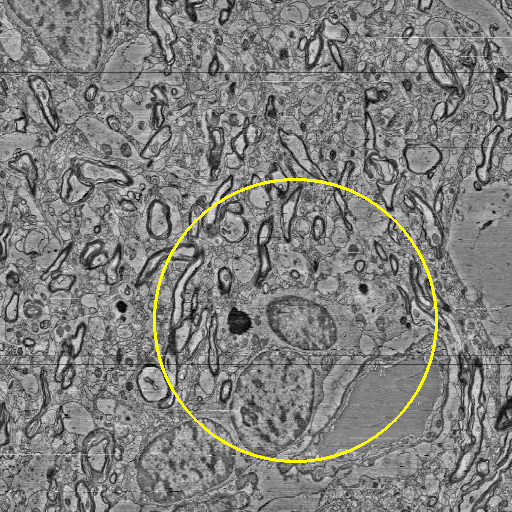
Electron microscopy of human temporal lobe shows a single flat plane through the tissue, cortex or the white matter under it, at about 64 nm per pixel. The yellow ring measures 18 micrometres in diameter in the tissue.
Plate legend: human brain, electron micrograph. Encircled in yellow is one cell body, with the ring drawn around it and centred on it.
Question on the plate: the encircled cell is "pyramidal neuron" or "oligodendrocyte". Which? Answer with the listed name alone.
oligodendrocyte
